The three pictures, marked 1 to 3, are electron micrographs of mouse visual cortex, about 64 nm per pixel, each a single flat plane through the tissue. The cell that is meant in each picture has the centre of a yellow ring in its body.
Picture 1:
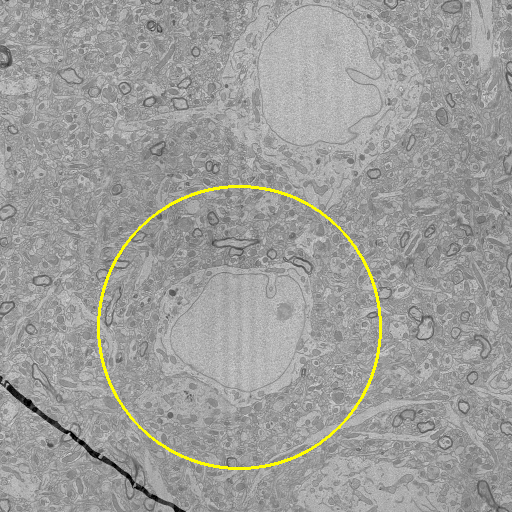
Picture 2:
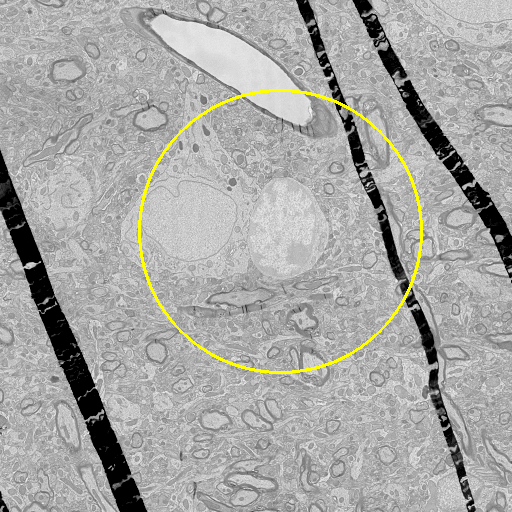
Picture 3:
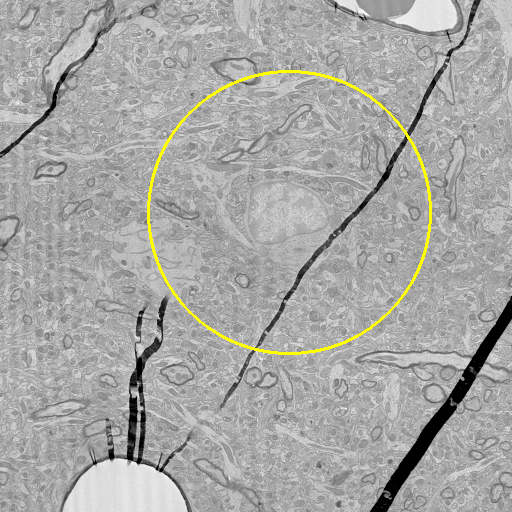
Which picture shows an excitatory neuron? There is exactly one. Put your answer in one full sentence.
The picture with the excitatory neuron is 1.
